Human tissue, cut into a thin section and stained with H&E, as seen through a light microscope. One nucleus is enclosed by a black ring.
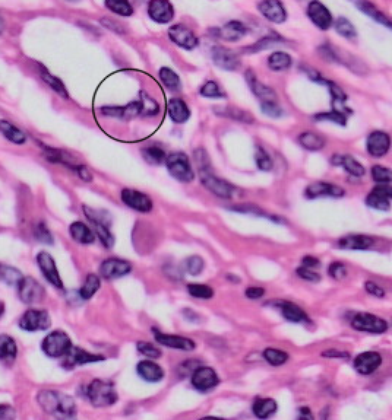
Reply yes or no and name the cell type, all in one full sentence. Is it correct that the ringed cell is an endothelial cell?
Yes, in short, the ringed cell is an endothelial cell here.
